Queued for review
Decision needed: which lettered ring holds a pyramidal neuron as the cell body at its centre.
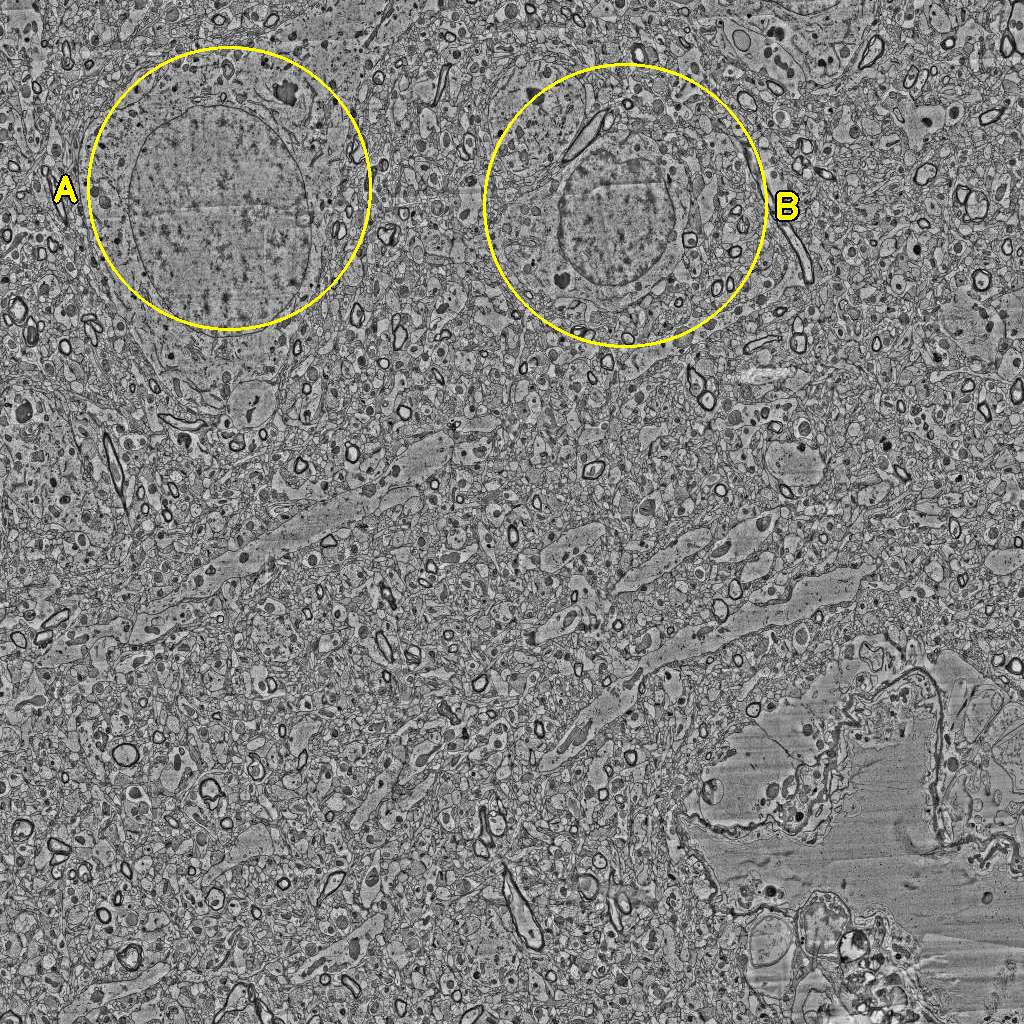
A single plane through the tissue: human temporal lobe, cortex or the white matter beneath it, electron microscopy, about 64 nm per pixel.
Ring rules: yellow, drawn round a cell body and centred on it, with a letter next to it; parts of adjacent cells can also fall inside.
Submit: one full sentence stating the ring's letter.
The cell asked for is the one at the centre of ring A in the picture.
